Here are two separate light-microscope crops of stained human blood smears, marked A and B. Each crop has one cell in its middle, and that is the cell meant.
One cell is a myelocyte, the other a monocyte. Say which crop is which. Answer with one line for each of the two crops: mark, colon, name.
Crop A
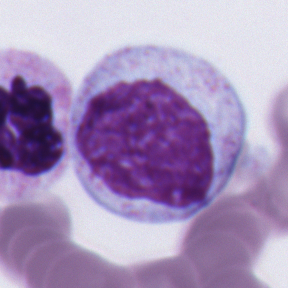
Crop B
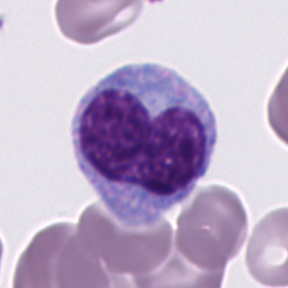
A: myelocyte
B: monocyte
